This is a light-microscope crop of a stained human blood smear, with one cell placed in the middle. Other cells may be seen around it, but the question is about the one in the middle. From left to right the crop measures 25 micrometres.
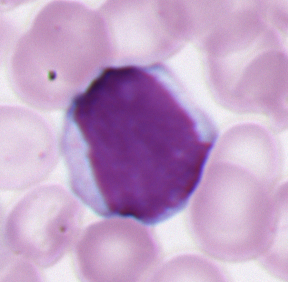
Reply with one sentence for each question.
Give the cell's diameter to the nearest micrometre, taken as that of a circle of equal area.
Taken as a circle, the cell has a diameter of about 13 micrometres.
